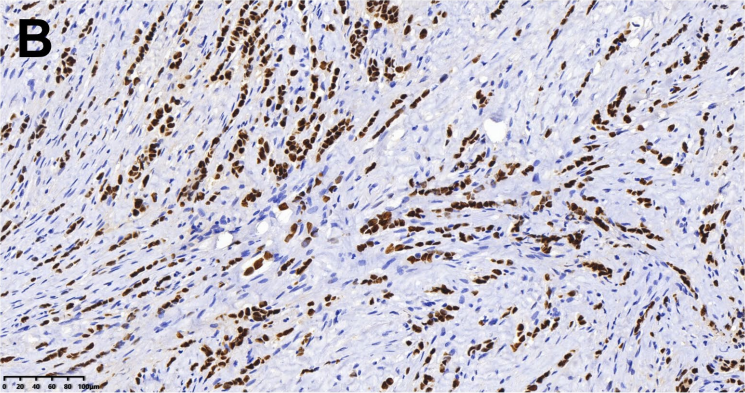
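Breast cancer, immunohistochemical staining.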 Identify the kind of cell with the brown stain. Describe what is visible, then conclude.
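Surrounding stromal cells with thin nuclei stay blue. On this evidence: tumor cells.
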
